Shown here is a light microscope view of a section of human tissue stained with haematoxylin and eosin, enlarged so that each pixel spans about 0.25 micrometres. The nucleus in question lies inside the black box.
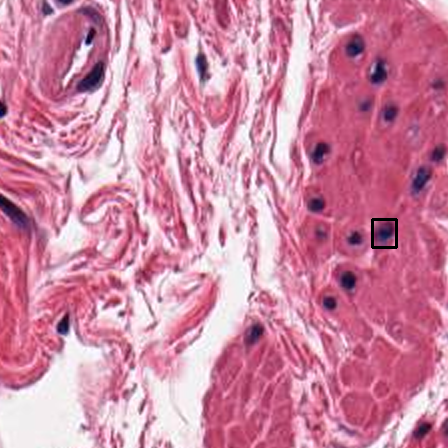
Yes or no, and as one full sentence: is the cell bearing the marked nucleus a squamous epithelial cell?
No, the marked nucleus is not found in a squamous epithelial cell.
